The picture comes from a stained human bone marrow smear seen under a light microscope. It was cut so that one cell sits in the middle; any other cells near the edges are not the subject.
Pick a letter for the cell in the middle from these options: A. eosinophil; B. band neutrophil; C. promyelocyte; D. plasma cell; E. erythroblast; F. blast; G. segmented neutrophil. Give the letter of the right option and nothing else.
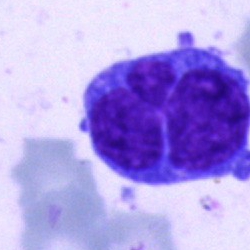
F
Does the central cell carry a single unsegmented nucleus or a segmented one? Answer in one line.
Nuclear material here is separated into two or more segments.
